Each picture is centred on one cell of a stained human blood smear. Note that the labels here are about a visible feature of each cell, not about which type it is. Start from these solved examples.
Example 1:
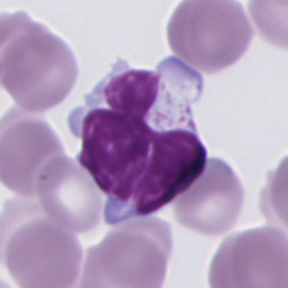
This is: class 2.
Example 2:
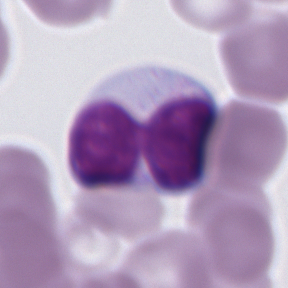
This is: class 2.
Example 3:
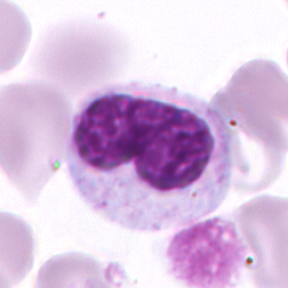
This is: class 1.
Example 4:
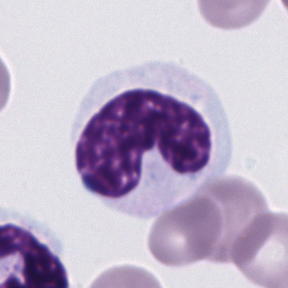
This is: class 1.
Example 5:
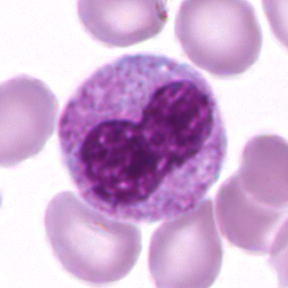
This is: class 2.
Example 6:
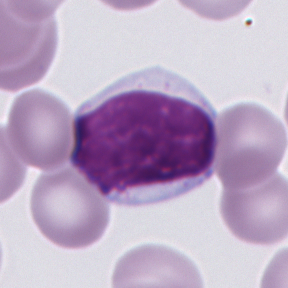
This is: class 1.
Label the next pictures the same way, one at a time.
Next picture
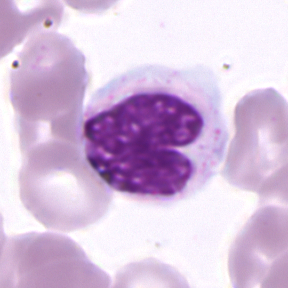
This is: class 2.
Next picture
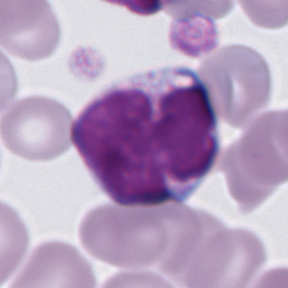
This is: class 2.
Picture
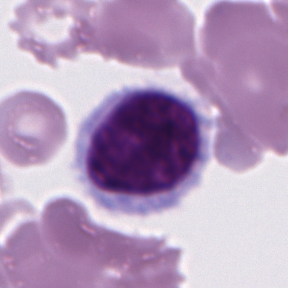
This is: class 1.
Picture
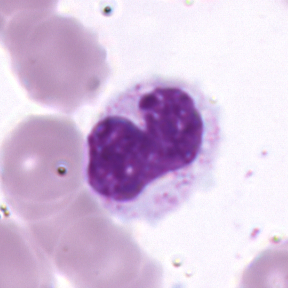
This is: class 1.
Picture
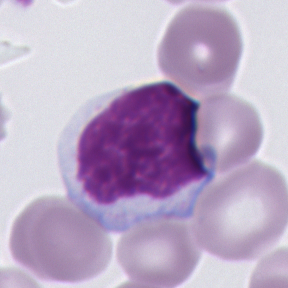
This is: class 1.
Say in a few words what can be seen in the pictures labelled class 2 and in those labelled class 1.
Seen in class 2: lobed nucleus; seen in class 1: single compact nucleus.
